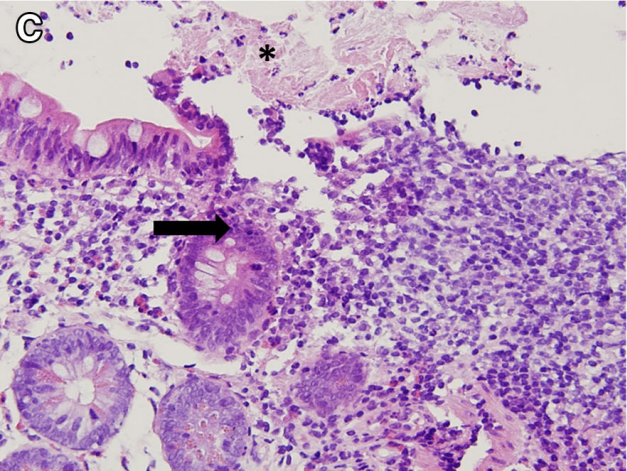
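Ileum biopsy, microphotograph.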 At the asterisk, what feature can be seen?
Fibrin deposits.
